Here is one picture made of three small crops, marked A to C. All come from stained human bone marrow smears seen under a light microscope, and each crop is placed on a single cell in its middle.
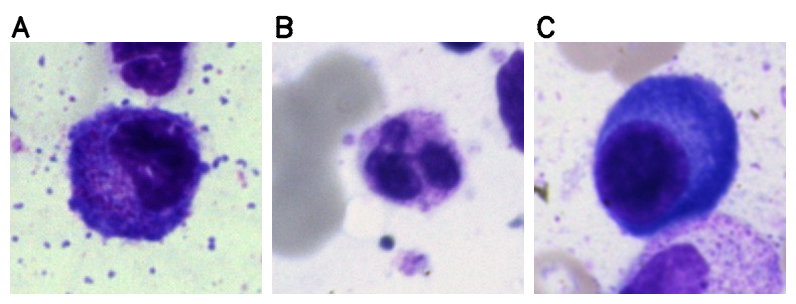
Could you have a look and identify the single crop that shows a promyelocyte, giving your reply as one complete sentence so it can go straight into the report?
When the crops are compared, crop A is the one showing a promyelocyte.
